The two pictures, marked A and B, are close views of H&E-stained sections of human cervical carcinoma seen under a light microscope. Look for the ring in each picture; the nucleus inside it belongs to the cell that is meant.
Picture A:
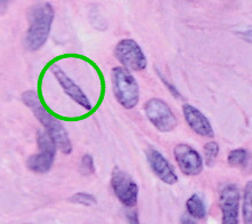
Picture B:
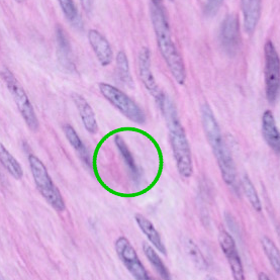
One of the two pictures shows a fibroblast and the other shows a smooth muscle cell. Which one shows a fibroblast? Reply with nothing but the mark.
A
